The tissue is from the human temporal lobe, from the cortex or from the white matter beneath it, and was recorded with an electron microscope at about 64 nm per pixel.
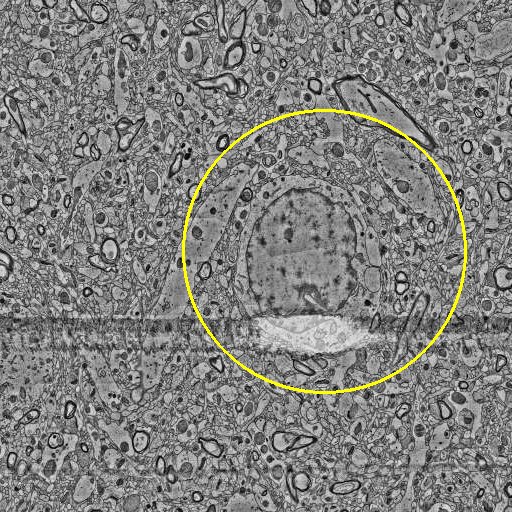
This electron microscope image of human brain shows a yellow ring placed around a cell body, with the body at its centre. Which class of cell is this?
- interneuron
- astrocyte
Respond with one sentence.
The cell body at the ring's centre is an interneuron.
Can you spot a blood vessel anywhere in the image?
No, none is visible.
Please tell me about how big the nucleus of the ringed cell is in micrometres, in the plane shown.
The nucleus appears about 8 micrometres across in this plane.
